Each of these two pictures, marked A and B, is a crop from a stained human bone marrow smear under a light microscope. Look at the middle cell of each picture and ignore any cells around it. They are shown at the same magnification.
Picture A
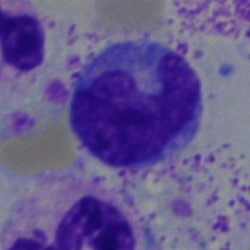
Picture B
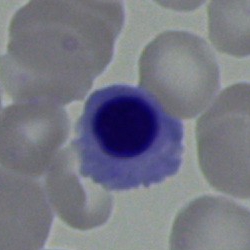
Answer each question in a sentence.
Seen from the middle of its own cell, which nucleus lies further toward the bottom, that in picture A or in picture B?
The nucleus in picture A lies further toward the bottom of its cell.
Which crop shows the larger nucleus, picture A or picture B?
It is the nucleus in picture A, about 3 times as large in area as the one in picture B.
